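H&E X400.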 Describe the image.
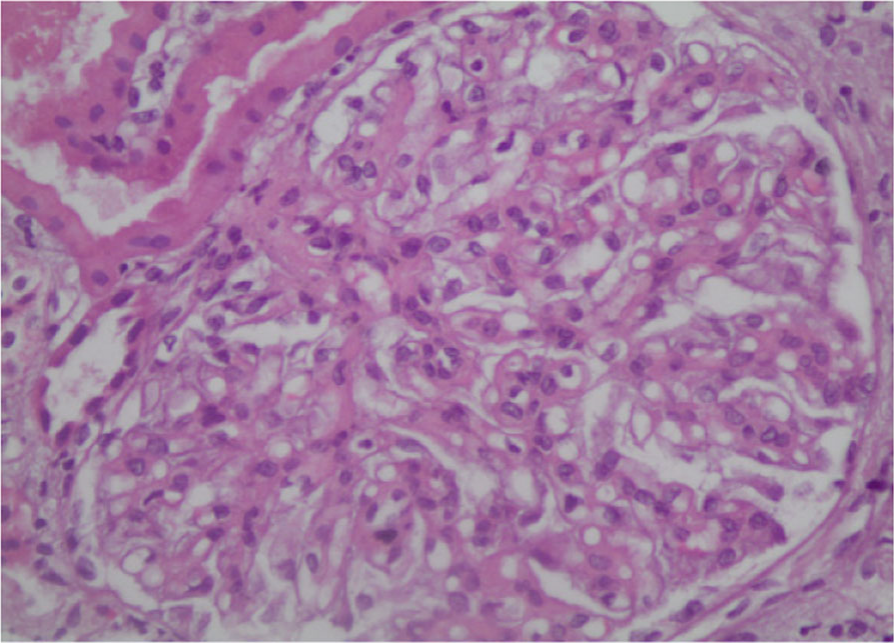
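The lobulated capillary tuft is crowded with round to oval purple nuclei lying in pink matrix between the capillary loops, and the crowding is heavier in some segments than others. Many capillary lumens appear as small clear round spaces. The walls of the loops are pink and appear somewhat thickened. A narrow white cleft, the urinary space, separates the tuft from the thin surrounding capsule at the right and lower left. At the upper left lies a tubule lined by cells with abundant eosinophilic cytoplasm and round nuclei.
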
